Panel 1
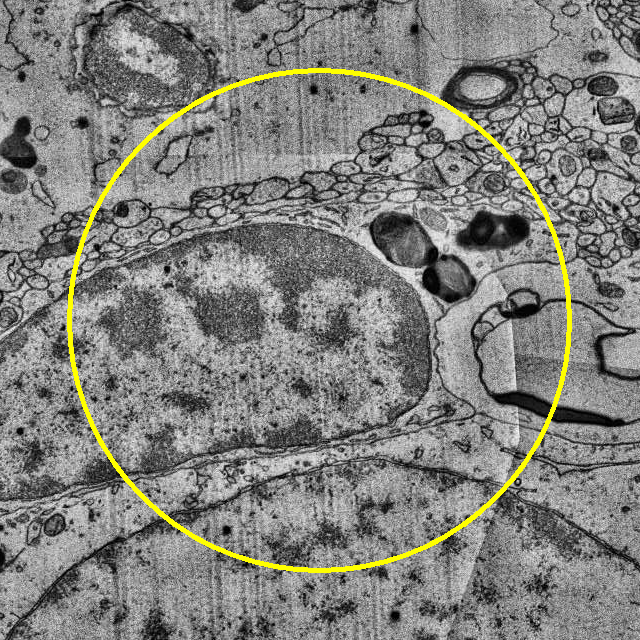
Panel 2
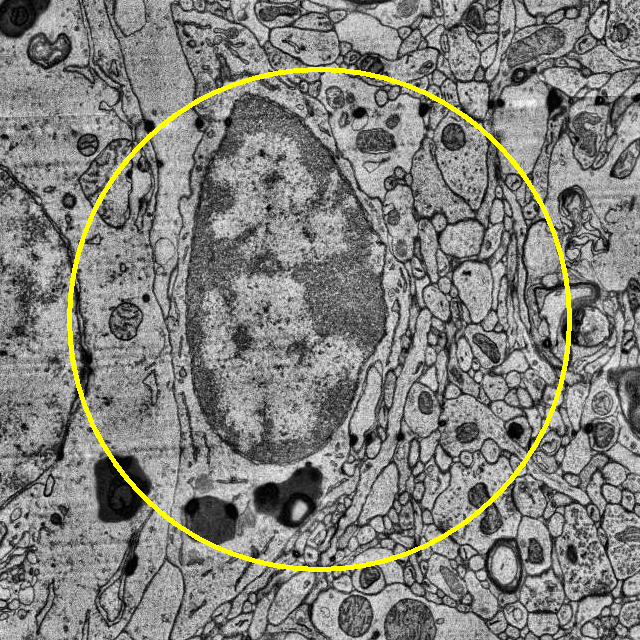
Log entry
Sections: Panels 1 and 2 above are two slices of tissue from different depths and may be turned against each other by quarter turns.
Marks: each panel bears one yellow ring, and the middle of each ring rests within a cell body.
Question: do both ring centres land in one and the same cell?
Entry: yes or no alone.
yes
